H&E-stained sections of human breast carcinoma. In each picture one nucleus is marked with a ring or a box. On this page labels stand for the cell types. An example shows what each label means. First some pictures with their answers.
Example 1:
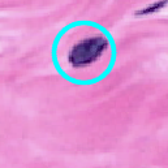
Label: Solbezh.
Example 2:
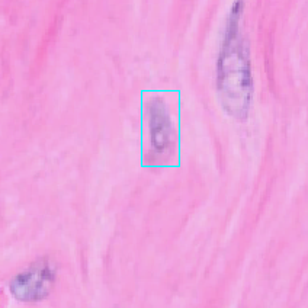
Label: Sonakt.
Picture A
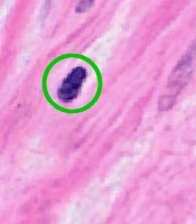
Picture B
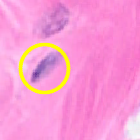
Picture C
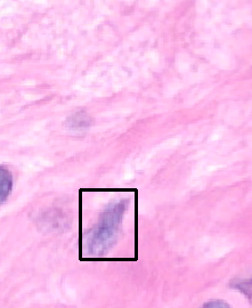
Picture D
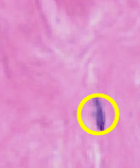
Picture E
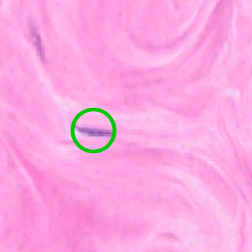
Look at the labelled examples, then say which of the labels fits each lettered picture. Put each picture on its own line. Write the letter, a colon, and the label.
A: Solbezh.
B: Sonakt.
C: Sonakt.
D: Sonakt.
E: Sonakt.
